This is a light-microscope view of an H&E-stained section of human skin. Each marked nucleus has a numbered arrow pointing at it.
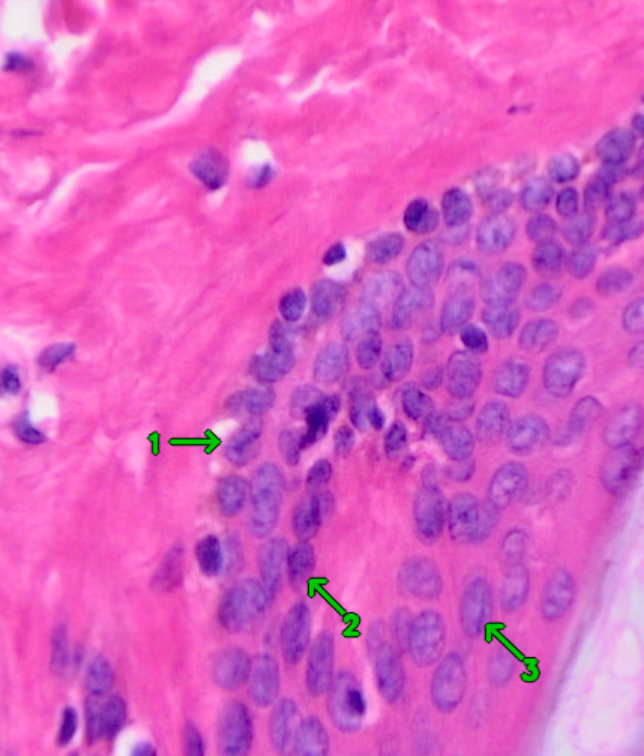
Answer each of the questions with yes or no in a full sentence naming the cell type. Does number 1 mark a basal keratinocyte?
Yes, the cell tagged with the number 1 is a basal keratinocyte.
